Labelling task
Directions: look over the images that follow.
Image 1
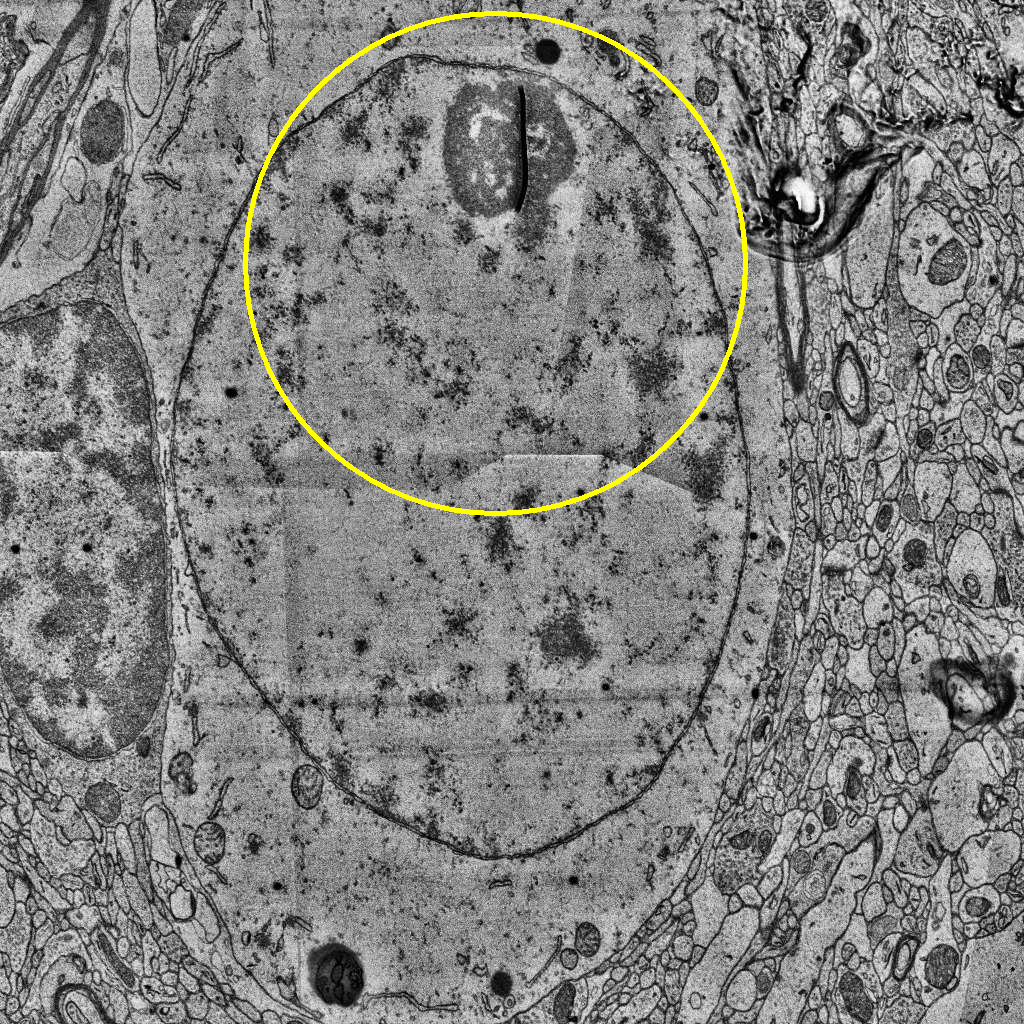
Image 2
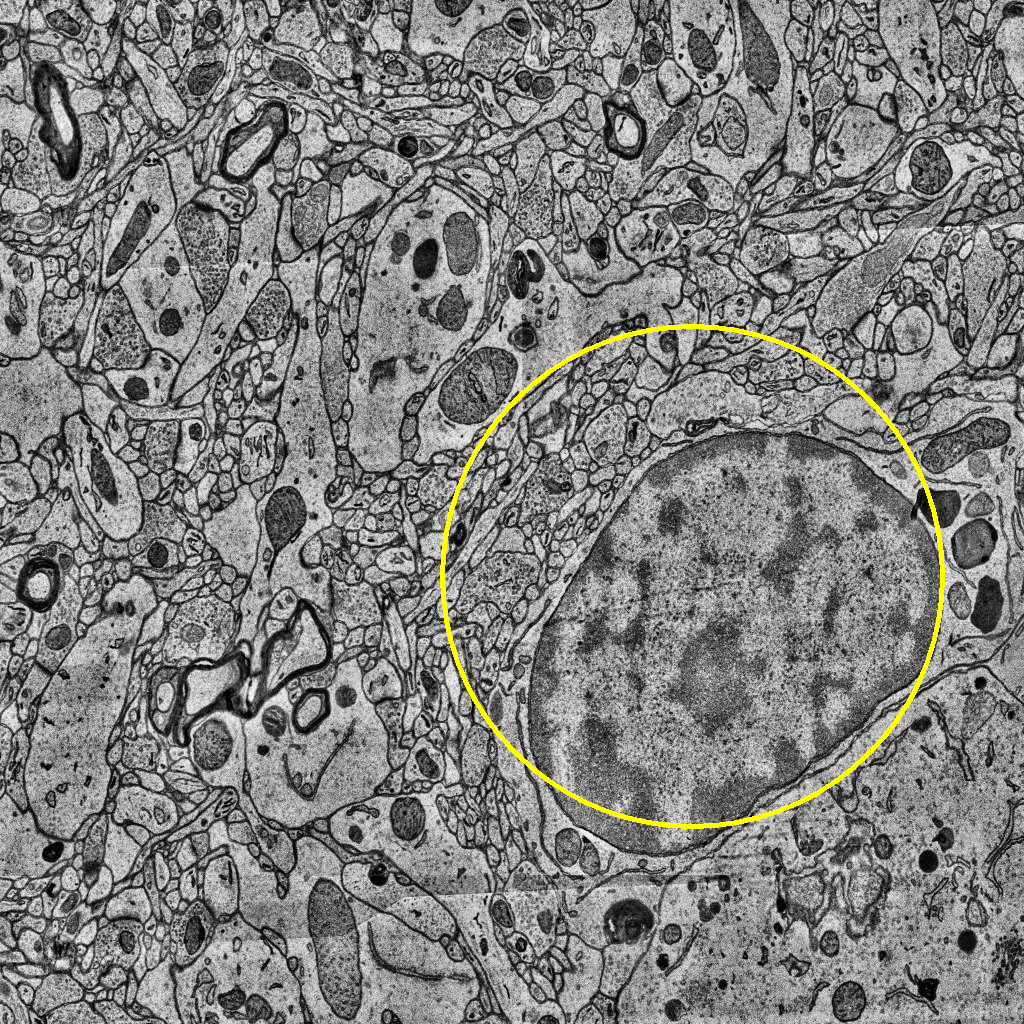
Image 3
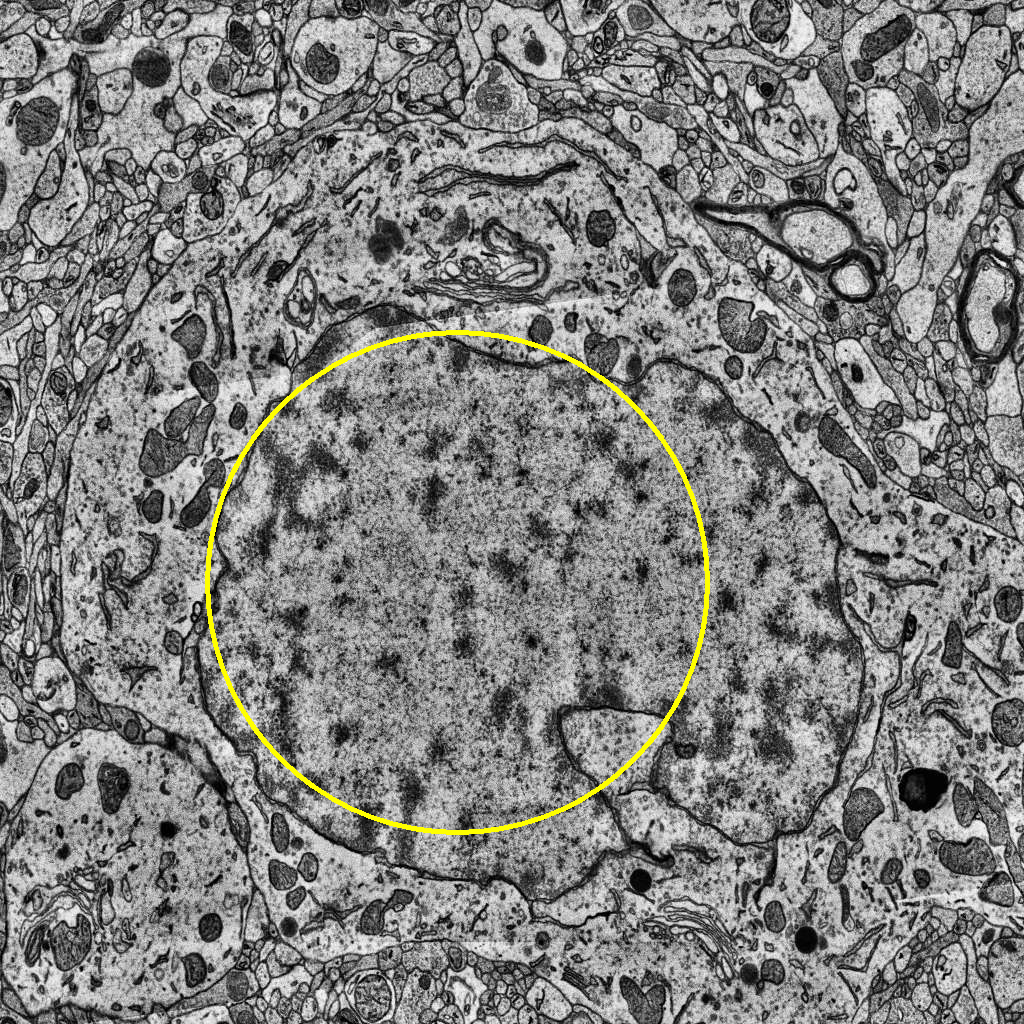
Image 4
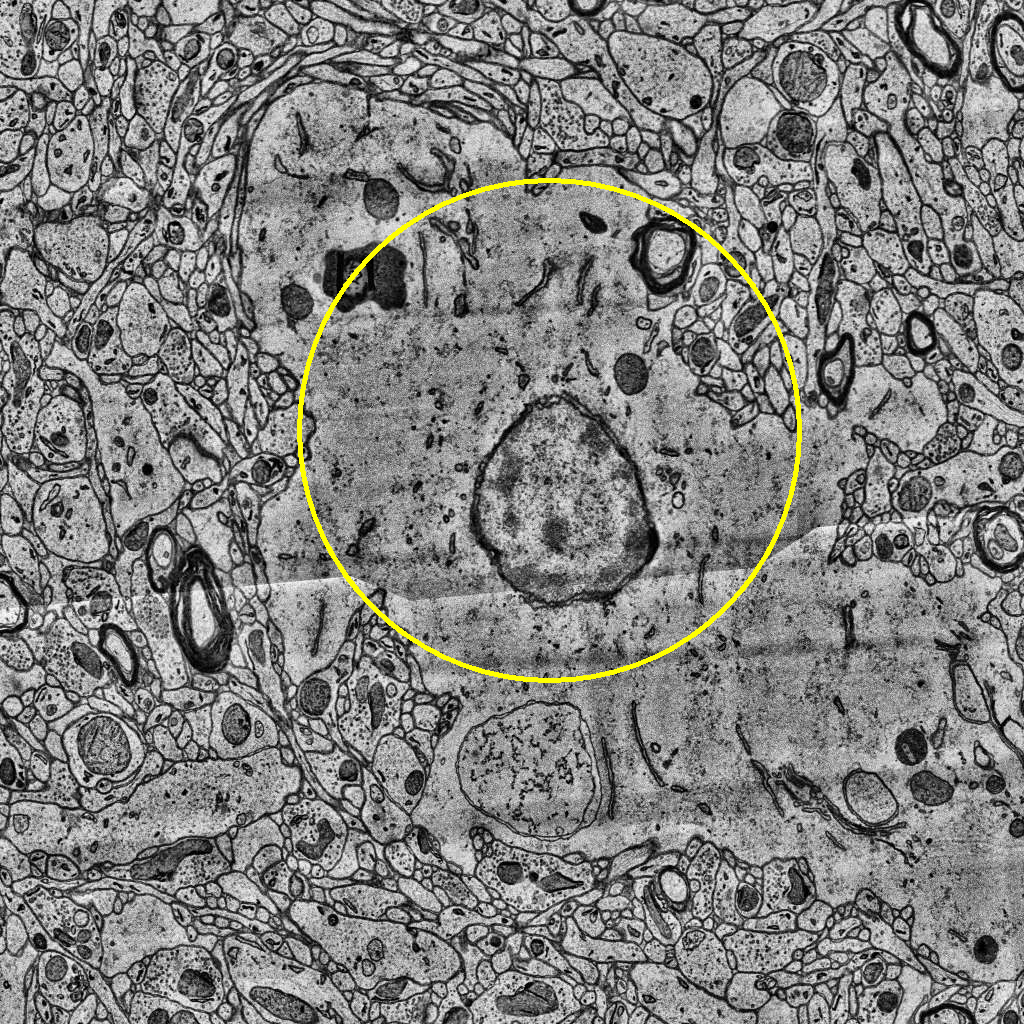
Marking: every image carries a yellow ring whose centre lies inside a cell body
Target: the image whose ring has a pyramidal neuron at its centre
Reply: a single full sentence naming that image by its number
The requested cell sits at the ring's centre in Image 1.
